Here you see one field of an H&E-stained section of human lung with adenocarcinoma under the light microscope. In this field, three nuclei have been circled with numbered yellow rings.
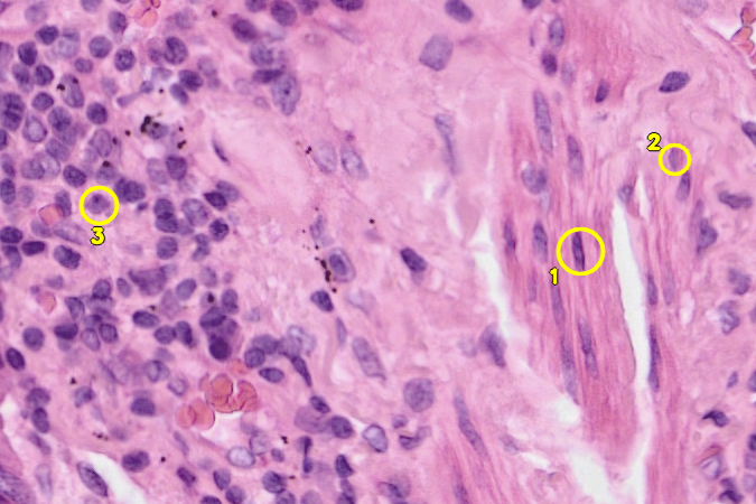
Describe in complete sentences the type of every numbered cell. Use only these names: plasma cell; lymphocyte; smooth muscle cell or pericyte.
Cells 1 and 2 are smooth muscle cells or pericytes. Cell 3 is a lymphocyte.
